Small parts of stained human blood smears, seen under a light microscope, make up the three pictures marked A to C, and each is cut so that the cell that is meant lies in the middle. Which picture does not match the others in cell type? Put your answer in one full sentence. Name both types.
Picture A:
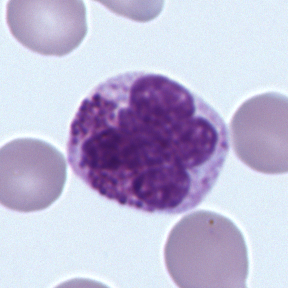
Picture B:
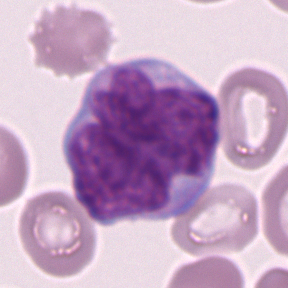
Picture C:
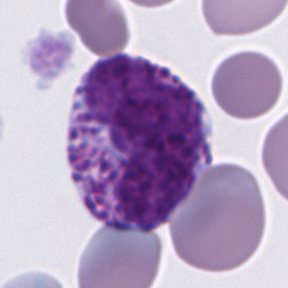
The different one is picture B; it shows an atypical promyelocyte, whereas all the others show basophils.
